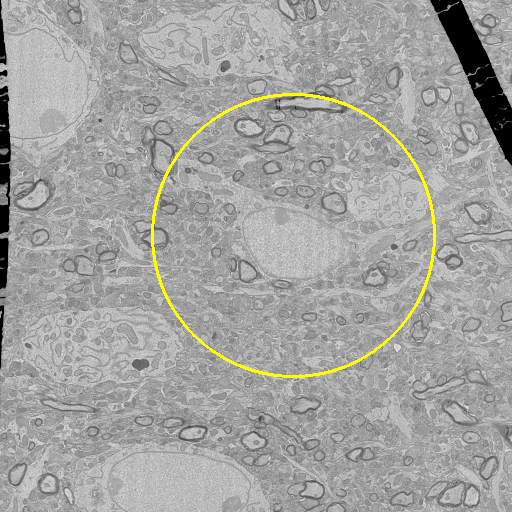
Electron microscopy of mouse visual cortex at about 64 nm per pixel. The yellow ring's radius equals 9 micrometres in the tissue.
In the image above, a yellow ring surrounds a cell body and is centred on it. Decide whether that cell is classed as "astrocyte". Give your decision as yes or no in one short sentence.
Yes, it is classed as that kind.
